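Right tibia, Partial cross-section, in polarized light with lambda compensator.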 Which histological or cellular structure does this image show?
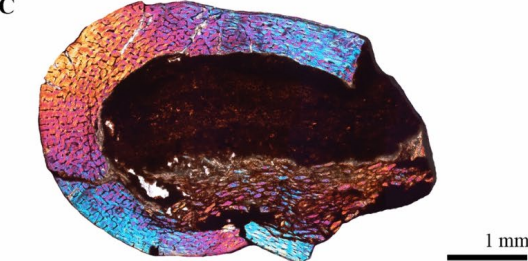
Reticular vascularization.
